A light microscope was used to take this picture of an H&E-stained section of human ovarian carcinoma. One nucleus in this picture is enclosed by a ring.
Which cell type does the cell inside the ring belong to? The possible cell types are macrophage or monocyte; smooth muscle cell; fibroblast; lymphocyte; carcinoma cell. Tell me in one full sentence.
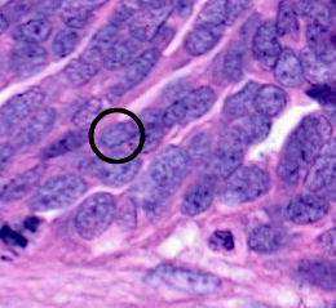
In this preparation, the cell inside the ring is a carcinoma cell.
